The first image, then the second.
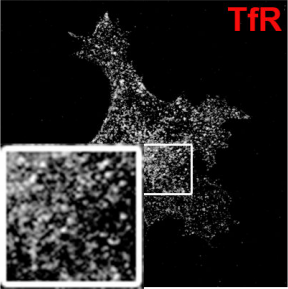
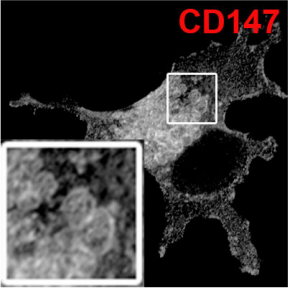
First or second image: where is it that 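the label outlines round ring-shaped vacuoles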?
the second image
